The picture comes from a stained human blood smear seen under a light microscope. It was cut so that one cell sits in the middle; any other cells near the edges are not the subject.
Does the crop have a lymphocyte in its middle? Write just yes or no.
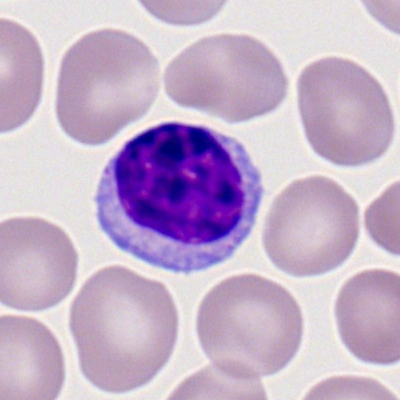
yes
